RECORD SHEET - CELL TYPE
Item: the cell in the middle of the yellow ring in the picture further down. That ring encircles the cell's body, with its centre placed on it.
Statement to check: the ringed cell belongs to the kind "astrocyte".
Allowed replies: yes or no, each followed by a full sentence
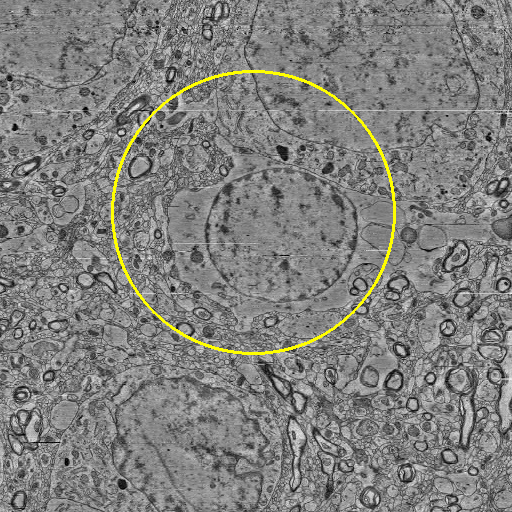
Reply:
Yes, the cell held at the centre of the ring in the picture is of that kind.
